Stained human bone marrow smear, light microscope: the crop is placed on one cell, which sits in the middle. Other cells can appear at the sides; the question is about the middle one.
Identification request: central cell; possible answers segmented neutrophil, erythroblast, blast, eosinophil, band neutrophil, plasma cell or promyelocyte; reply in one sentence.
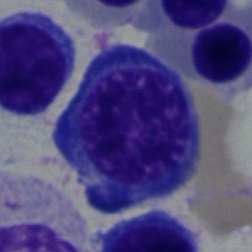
The target cell in the middle of the crop is an erythroblast.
